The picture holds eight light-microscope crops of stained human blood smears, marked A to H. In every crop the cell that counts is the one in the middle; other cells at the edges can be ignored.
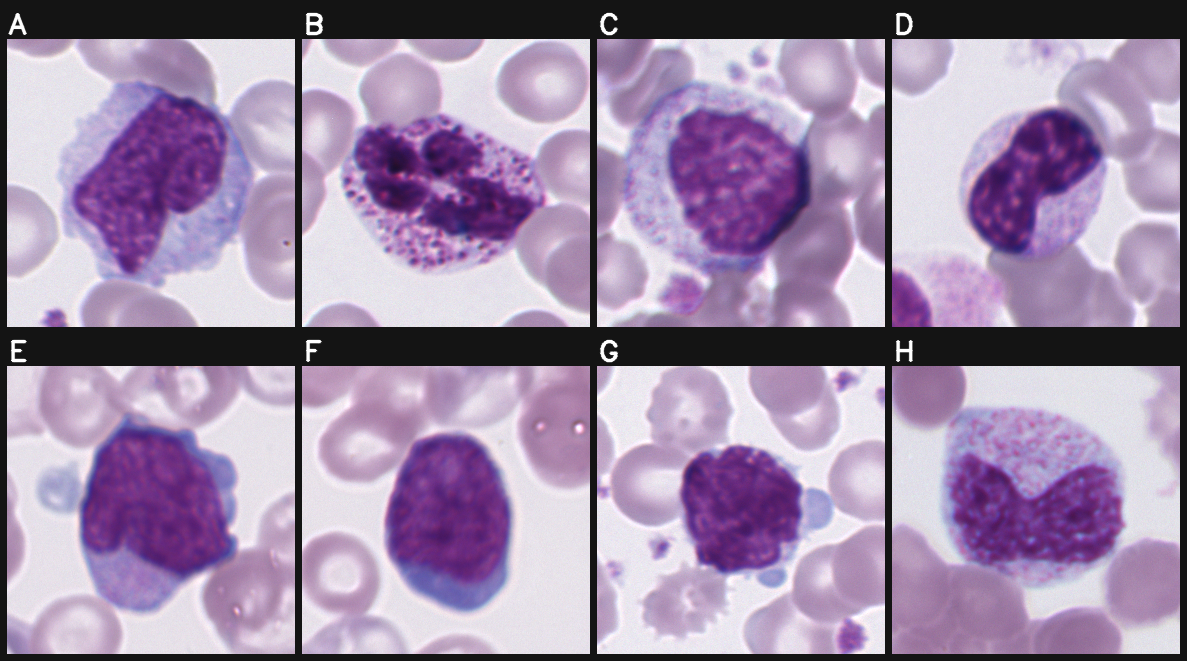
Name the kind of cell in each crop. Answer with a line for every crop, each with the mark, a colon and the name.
A: monocyte
B: basophil
C: myelocyte
D: band neutrophil
E: blast
F: blast
G: lymphocyte
H: band neutrophil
